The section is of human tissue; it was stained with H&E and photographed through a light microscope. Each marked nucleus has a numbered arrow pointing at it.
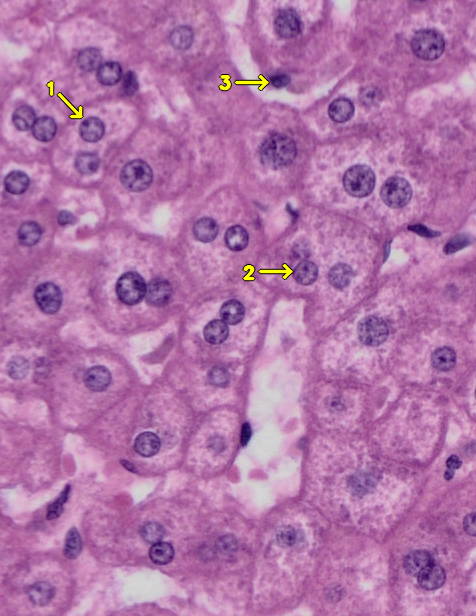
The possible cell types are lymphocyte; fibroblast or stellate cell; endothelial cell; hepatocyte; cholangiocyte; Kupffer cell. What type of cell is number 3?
Kupffer cell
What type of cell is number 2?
hepatocyte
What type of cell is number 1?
hepatocyte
